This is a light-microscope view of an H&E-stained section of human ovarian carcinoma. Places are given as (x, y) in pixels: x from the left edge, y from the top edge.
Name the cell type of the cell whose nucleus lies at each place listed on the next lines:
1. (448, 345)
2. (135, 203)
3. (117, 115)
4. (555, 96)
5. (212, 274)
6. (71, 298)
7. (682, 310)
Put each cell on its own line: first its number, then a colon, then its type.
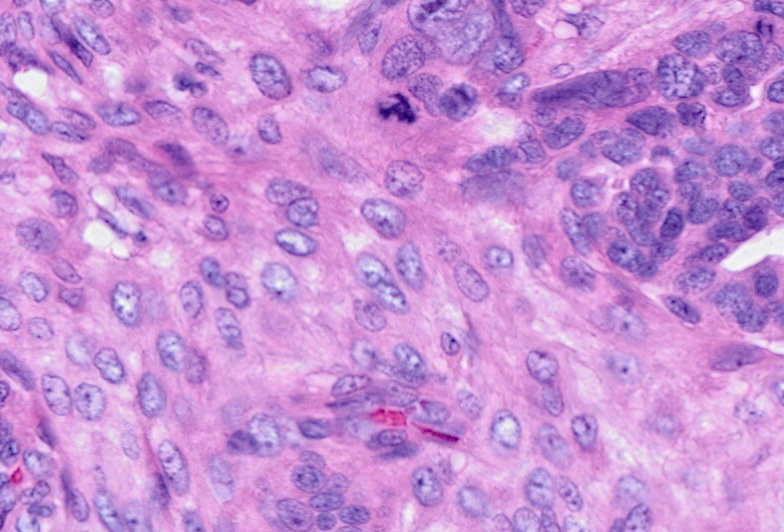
1: macrophage or monocyte
2: fibroblast
3: fibroblast
4: carcinoma cell
5: fibroblast
6: fibroblast
7: macrophage or monocyte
